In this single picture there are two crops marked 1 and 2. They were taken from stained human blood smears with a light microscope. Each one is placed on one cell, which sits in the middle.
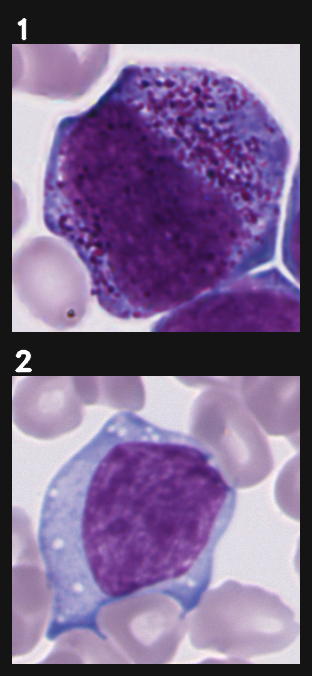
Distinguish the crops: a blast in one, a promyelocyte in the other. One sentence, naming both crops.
Crop 1 here is a promyelocyte, and crop 2 is a blast.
